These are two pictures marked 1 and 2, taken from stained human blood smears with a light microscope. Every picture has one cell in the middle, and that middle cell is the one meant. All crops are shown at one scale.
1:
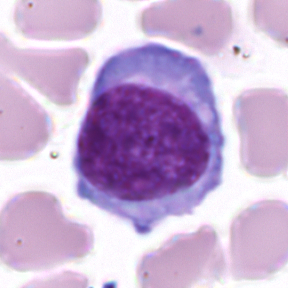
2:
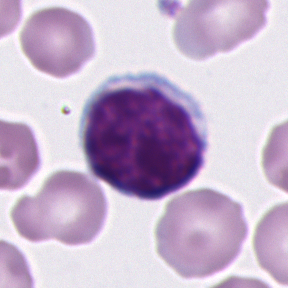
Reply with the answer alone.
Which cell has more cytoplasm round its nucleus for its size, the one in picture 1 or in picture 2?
1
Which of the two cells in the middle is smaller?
2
